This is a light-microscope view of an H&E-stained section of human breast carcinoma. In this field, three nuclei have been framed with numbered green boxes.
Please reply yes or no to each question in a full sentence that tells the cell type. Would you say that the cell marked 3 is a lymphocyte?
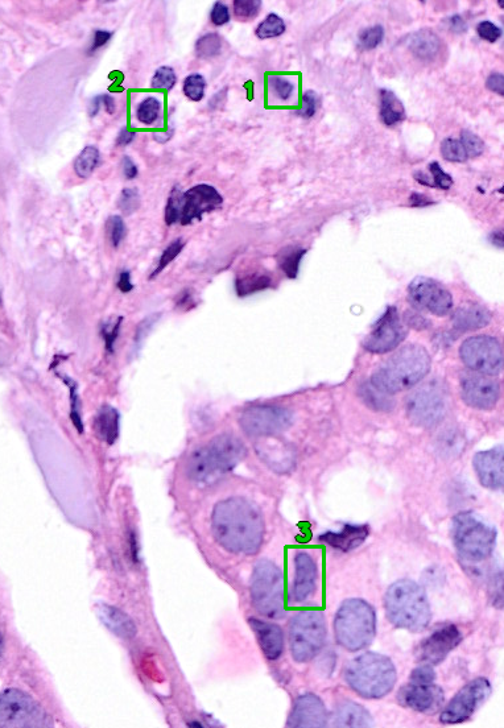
No, it is a carcinoma cell, not a lymphocyte, that number 3 marks.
